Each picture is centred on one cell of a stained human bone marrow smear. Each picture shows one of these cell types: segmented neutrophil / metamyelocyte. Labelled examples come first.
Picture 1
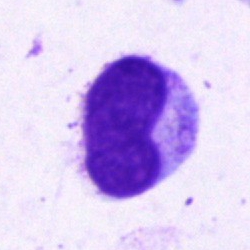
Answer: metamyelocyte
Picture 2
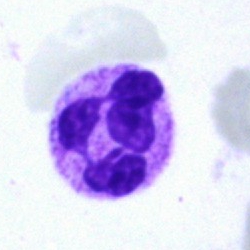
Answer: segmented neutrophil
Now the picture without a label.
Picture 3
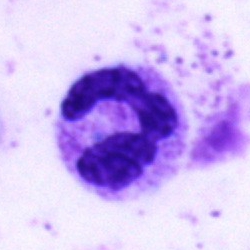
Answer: segmented neutrophil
